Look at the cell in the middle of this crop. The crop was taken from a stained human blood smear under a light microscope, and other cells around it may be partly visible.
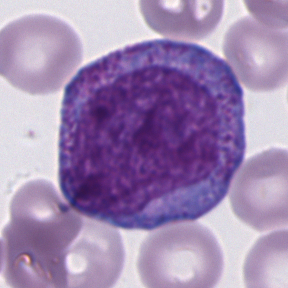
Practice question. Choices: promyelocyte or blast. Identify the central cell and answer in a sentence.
As for the cell in the middle, it is a promyelocyte.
